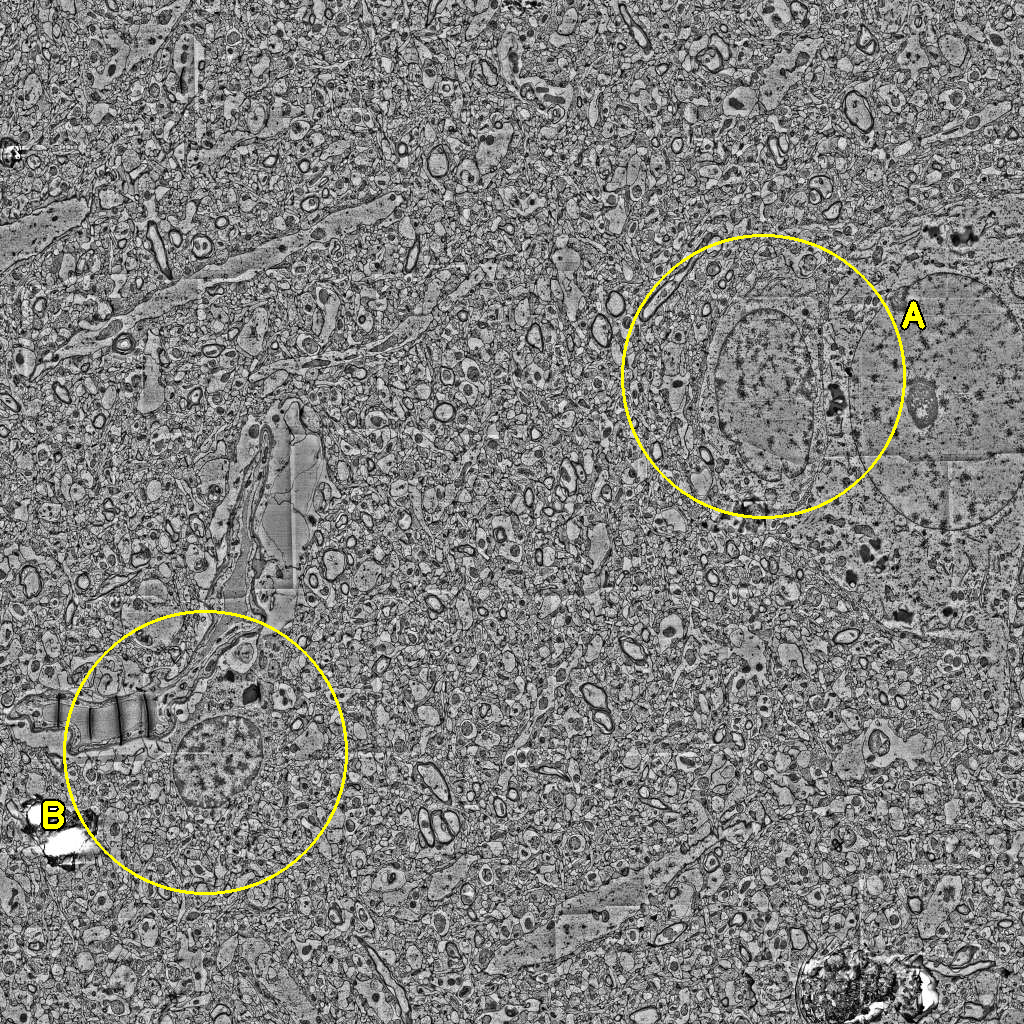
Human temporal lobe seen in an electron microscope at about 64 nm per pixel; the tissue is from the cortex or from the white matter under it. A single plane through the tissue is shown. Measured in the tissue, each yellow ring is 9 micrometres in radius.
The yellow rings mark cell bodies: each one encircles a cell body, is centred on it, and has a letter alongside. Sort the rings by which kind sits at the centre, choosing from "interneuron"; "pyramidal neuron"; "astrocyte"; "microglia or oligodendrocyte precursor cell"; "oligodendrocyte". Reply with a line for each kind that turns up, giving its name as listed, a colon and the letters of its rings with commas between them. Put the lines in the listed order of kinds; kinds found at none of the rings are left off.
microglia or oligodendrocyte precursor cell: A
oligodendrocyte: B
